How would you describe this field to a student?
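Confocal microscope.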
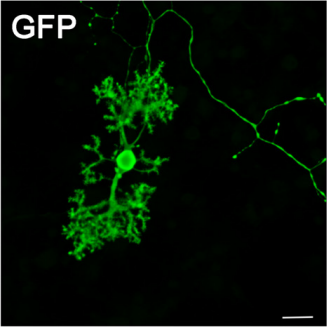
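A large round cell body sits at the centre, and from it several thick dendrites branch again and again into a dense, bushy tree whose branches are studded with tiny protrusions. A single long, thin axon leaves the cell and runs far across the field.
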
